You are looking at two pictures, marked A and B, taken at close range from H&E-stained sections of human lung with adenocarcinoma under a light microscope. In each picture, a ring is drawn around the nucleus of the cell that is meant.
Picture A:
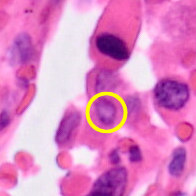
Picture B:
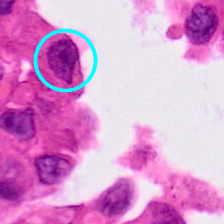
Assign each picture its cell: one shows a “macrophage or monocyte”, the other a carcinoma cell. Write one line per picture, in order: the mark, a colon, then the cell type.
A: macrophage or monocyte
B: carcinoma cell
